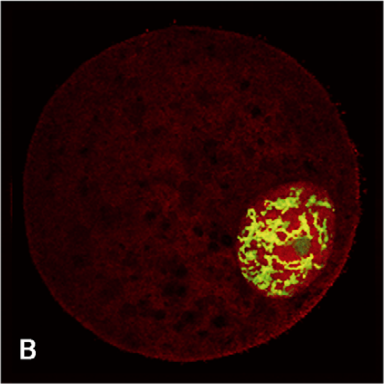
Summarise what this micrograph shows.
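This is a large round oocyte with a faint, finely mottled red cytoplasm and a big nucleus lying eccentrically toward the lower right. The nucleus is filled with red signal, brighter than the surrounding cytoplasm. Green chromatin forms threads and clumps scattered through the nucleoplasm rather than gathering in one place. A rounded dark nucleolus sits within the nucleus, not ringed by a continuous chromatin shell.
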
